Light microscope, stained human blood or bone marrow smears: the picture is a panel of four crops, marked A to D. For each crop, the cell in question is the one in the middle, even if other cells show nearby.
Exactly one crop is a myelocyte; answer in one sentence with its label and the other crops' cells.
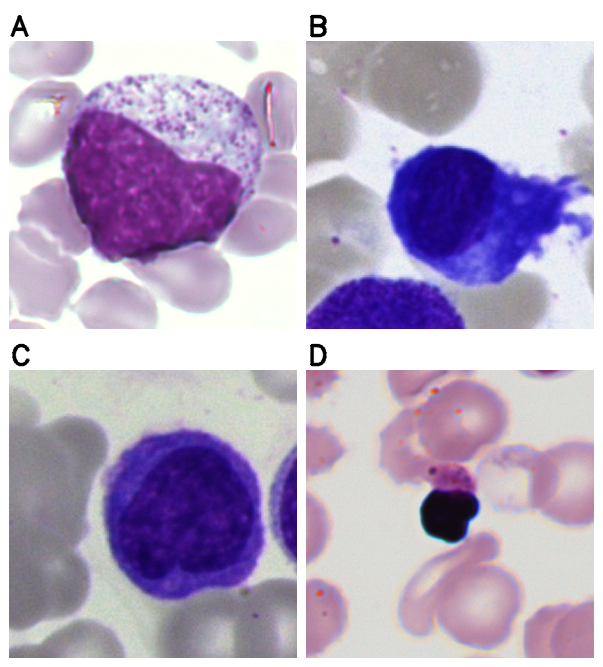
The centred cell in crop A is a myelocyte; meanwhile, crop B is a plasma cell, crop C is a monocyte and crop D is a normoblast.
